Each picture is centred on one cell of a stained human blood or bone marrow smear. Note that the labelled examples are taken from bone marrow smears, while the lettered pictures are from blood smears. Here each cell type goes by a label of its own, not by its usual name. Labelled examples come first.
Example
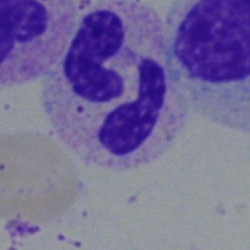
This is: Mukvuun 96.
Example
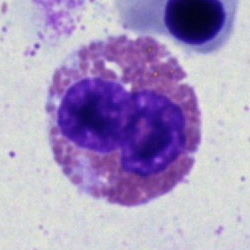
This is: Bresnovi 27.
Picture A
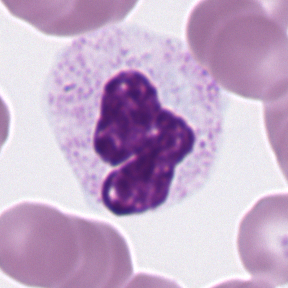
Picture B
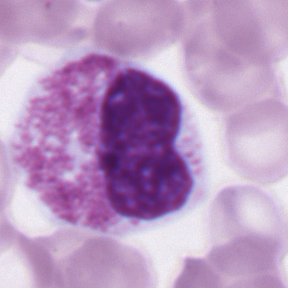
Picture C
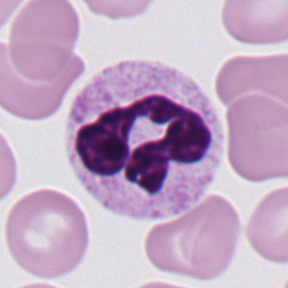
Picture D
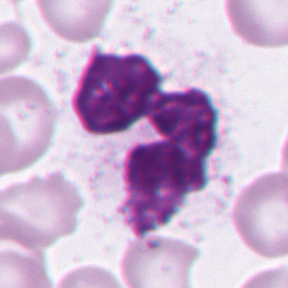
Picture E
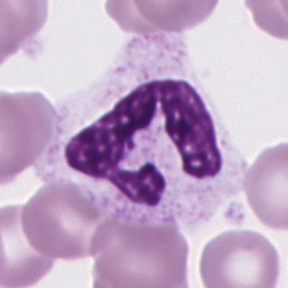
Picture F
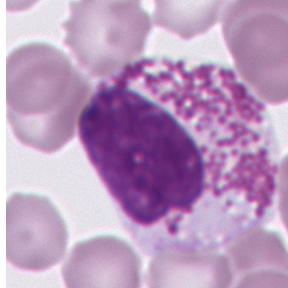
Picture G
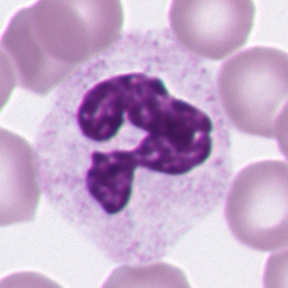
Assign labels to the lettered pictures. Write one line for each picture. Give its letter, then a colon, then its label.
A: Mukvuun 96.
B: Bresnovi 27.
C: Mukvuun 96.
D: Mukvuun 96.
E: Mukvuun 96.
F: Bresnovi 27.
G: Mukvuun 96.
